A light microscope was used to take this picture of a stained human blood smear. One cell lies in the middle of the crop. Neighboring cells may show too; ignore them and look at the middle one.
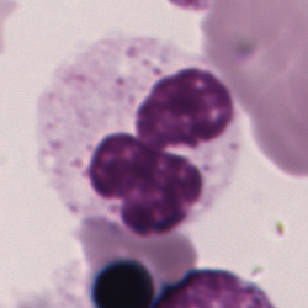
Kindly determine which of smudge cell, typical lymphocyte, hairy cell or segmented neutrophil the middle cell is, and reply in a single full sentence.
This crop is built around a segmented neutrophil at its centre.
